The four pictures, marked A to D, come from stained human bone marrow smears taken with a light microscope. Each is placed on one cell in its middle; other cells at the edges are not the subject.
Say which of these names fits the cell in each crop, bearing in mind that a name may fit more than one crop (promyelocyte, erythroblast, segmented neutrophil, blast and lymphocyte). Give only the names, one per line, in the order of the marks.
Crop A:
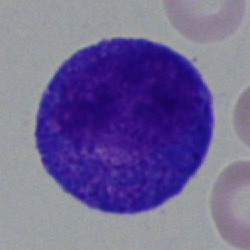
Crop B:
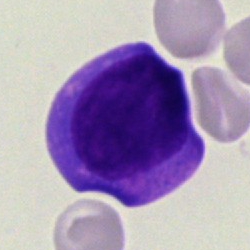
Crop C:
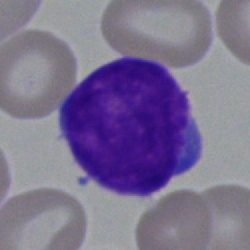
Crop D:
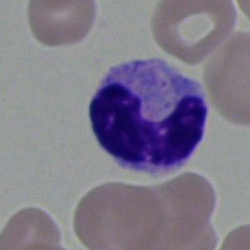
promyelocyte
blast
blast
segmented neutrophil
